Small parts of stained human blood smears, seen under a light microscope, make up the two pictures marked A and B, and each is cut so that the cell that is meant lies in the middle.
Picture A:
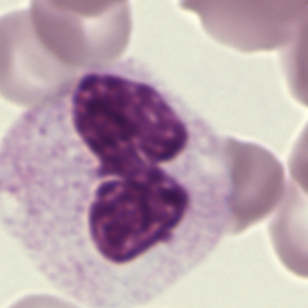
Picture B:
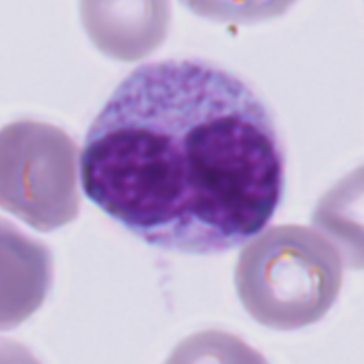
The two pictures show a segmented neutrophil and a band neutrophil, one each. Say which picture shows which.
A: segmented neutrophil
B: band neutrophil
